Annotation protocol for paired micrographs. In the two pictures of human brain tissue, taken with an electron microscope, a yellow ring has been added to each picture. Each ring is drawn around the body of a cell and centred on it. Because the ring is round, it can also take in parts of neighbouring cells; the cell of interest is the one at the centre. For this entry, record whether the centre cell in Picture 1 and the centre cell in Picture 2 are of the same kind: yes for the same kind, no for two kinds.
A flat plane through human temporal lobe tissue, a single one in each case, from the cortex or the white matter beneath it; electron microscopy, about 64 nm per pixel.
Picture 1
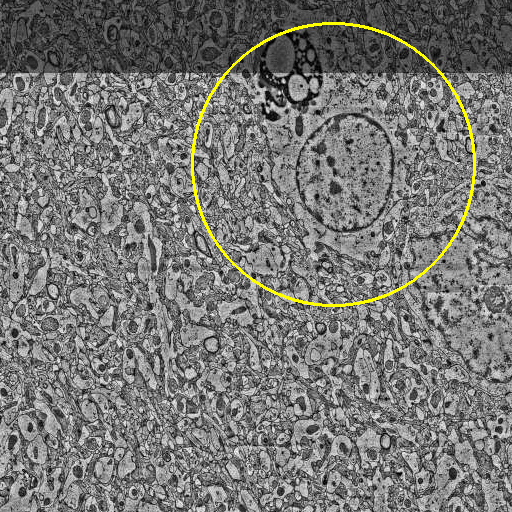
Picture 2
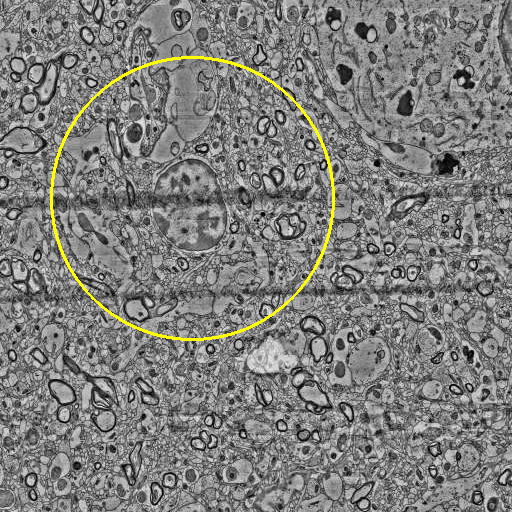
no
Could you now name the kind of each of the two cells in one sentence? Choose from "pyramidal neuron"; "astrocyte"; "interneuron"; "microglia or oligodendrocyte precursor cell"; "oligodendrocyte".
The first ring encloses an astrocyte; the second ring encloses a microglial cell or oligodendrocyte precursor cell.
